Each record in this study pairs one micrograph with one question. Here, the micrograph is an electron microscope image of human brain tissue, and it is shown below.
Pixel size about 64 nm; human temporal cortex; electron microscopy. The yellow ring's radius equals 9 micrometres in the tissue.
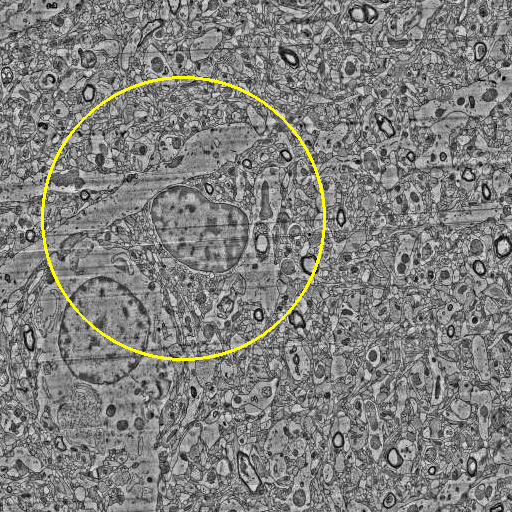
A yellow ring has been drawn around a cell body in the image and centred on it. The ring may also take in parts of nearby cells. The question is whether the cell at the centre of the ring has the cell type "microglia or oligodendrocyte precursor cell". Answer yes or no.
yes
